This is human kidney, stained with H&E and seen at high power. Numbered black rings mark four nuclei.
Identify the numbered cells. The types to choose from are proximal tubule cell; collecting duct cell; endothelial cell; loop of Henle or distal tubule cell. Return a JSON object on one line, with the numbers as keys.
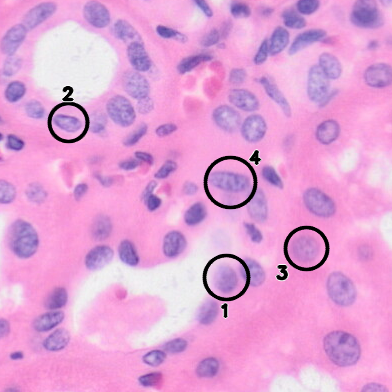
{"1": "collecting duct cell", "2": "collecting duct cell", "3": "proximal tubule cell", "4": "collecting duct cell"}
